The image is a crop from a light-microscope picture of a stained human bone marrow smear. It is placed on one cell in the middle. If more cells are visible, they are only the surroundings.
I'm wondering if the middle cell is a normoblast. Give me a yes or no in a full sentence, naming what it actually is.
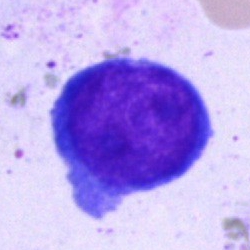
No, it is not a normoblast that sits at the centre but a blast.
